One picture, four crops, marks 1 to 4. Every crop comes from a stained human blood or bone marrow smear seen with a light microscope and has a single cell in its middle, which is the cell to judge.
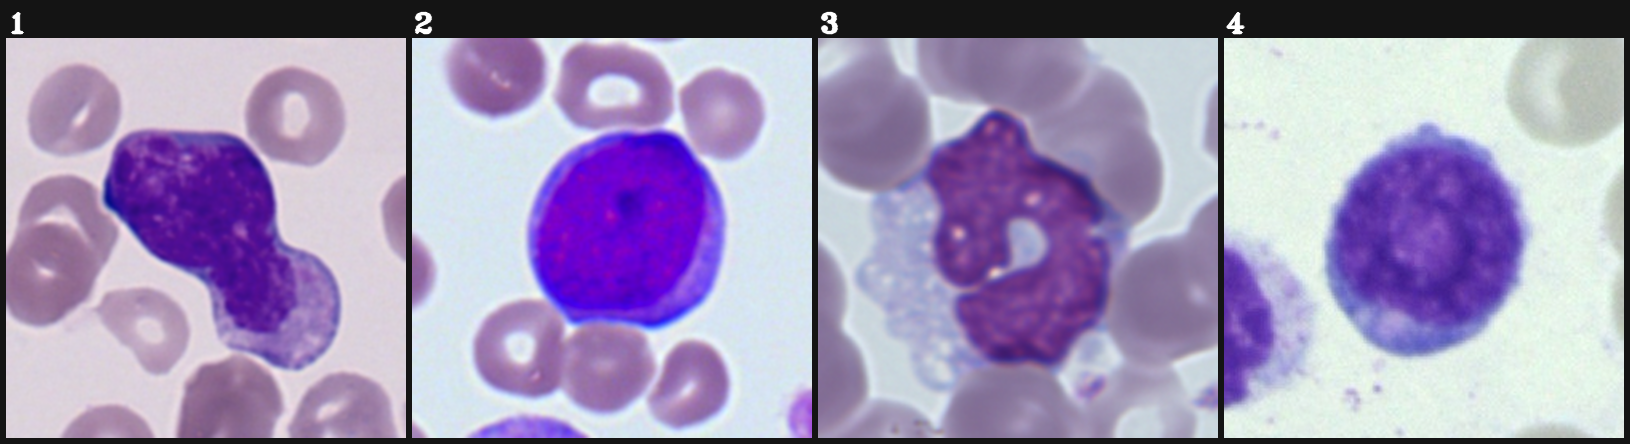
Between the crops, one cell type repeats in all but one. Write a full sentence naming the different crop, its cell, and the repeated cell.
Crop 3 is the only crop with a monocyte, the others all showing blasts.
